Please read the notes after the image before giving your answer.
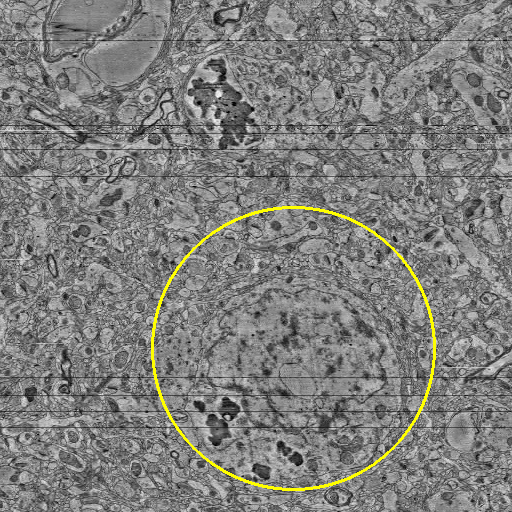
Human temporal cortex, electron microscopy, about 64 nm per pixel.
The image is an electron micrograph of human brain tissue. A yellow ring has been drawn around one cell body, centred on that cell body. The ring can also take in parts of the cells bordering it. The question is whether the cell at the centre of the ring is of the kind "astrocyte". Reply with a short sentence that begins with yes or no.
Yes, the cell at the centre is of that kind.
